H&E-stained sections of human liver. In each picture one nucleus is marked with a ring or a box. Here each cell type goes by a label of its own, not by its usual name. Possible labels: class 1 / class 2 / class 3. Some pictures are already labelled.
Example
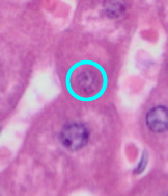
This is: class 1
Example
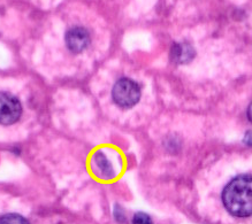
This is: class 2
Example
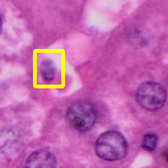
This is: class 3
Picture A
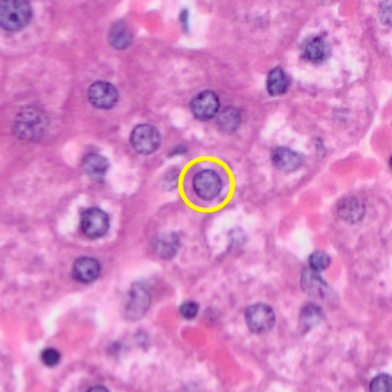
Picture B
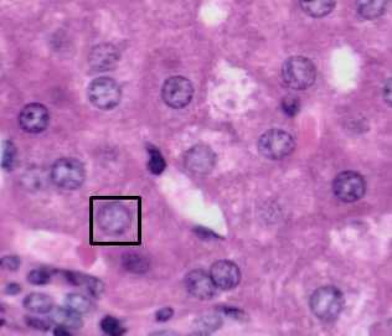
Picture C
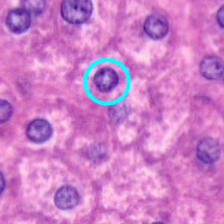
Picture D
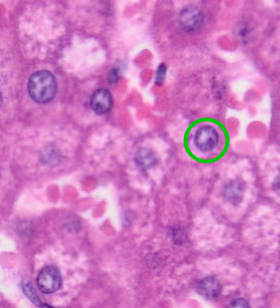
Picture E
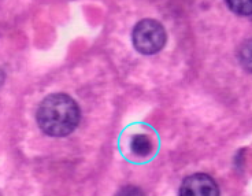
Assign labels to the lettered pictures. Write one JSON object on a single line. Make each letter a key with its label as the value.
{"A": "class 1", "B": "class 1", "C": "class 1", "D": "class 1", "E": "class 3"}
